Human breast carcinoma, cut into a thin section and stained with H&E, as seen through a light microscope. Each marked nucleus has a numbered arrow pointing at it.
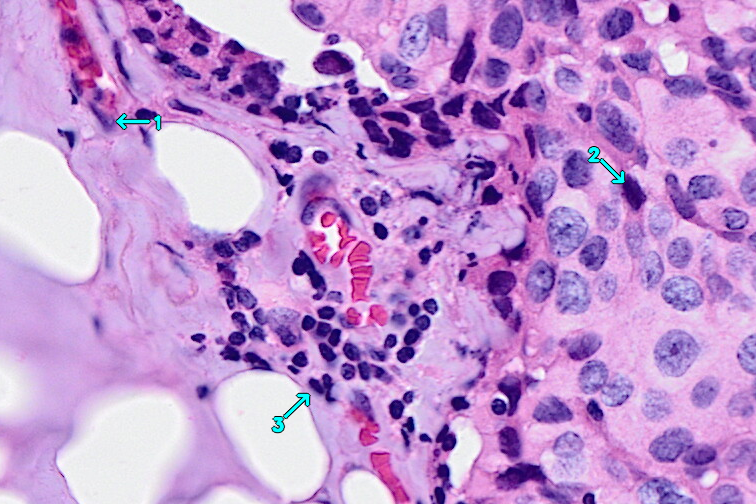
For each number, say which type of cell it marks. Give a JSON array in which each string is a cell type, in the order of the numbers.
["endothelial cell", "carcinoma cell", "lymphocyte"]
